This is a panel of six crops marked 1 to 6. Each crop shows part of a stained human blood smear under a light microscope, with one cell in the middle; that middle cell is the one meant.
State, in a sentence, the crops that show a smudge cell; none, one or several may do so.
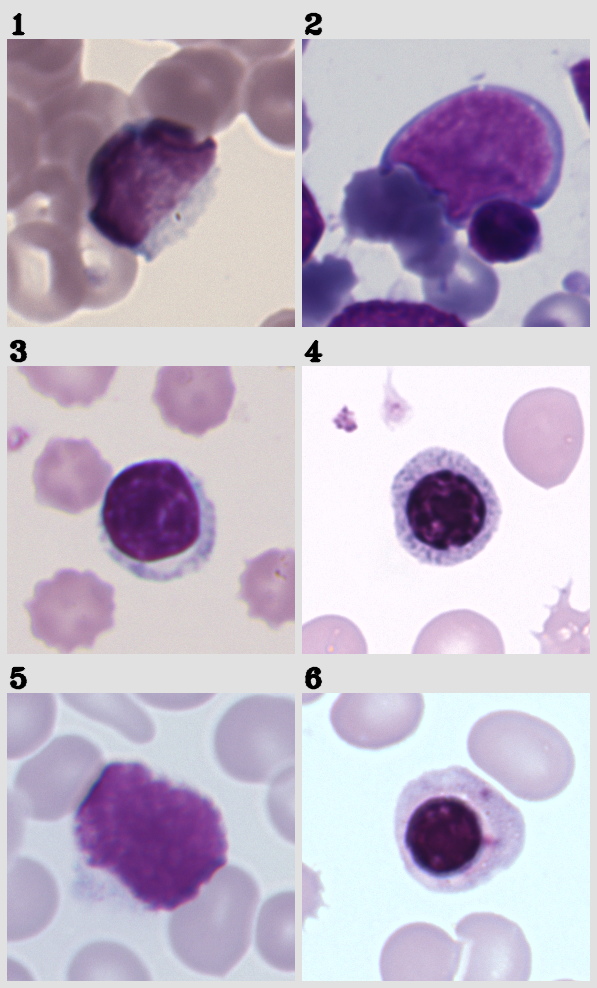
Just one crop, crop 5, shows a smudge cell.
